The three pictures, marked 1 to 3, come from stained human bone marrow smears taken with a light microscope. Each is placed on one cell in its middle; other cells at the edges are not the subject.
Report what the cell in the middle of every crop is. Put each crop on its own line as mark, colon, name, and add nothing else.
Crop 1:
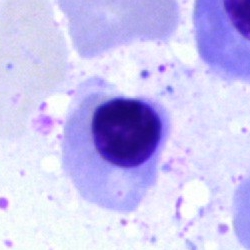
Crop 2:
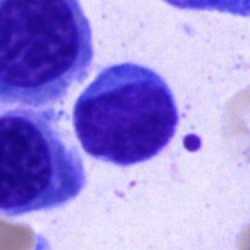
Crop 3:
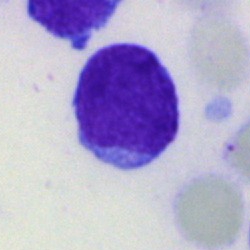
1: normoblast
2: lymphocyte
3: blast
